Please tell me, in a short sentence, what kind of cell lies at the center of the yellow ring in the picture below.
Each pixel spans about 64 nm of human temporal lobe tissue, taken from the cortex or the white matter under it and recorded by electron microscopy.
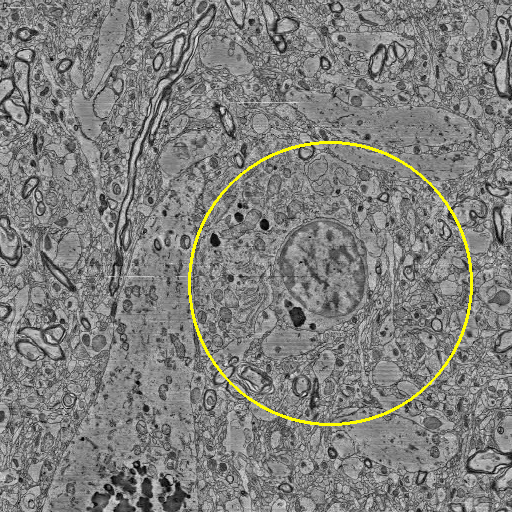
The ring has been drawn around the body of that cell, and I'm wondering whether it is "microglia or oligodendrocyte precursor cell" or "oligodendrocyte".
The cell at the center of the ring is an oligodendrocyte.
